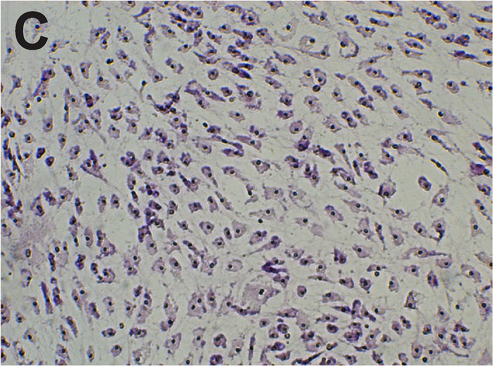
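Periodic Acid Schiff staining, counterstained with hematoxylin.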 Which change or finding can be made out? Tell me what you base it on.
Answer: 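Many cells have several short corners rather than two tapering ends. Each cell has a single roundish dark nucleus in a broad pale cytoplasm. Cells lie separately with pale space between them. On this evidence: polygonal shape.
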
